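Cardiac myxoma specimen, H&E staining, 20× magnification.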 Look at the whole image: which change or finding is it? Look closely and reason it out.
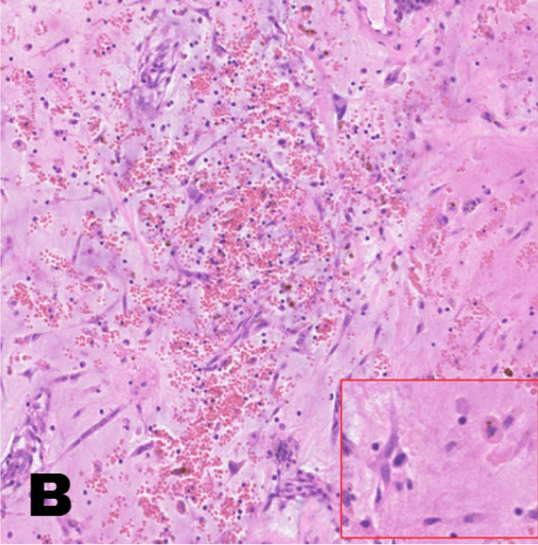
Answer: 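Recent hemorrhage. Large sheets of intact red blood cells lie free in the matrix in the centre of the field.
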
